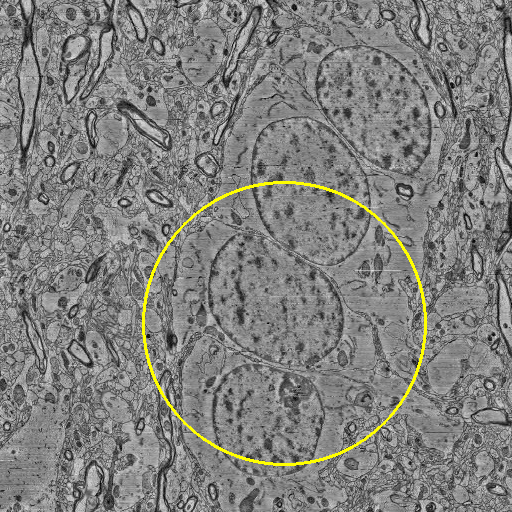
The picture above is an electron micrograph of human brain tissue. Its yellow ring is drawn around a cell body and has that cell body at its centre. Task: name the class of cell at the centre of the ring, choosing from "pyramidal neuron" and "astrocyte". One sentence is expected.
The ring surrounds the body of an astrocyte.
